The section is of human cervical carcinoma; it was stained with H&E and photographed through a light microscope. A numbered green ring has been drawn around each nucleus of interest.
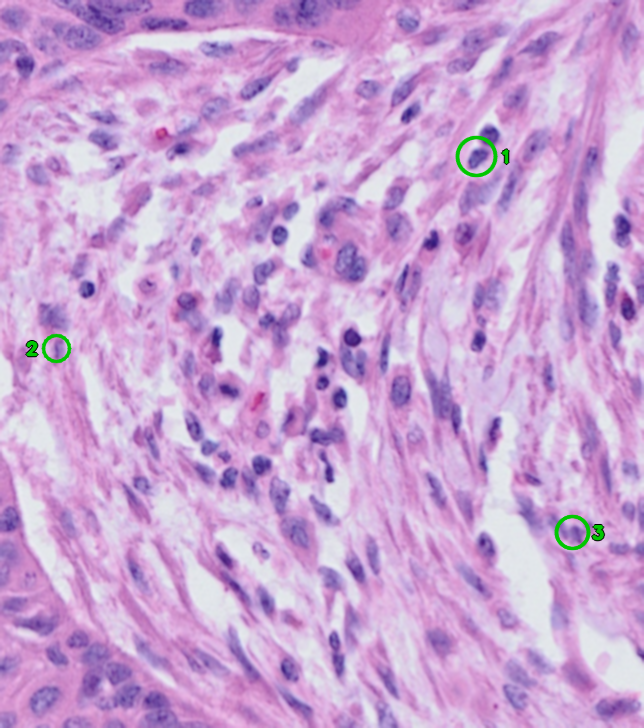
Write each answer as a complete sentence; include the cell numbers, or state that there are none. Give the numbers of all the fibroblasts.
Identified as fibroblasts are the cells numbered 2 and 3.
